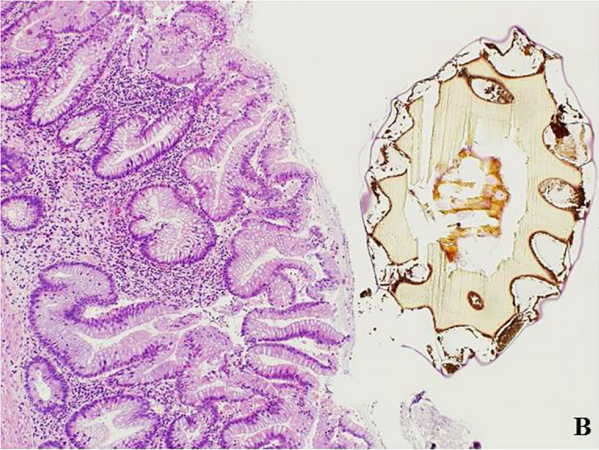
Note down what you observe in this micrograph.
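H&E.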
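A seed lies beside intestinal mucosa with serrated crypts. The mucosa on the left shows crypts with saw-toothed, folded epithelial linings in a cellular purple stroma.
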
